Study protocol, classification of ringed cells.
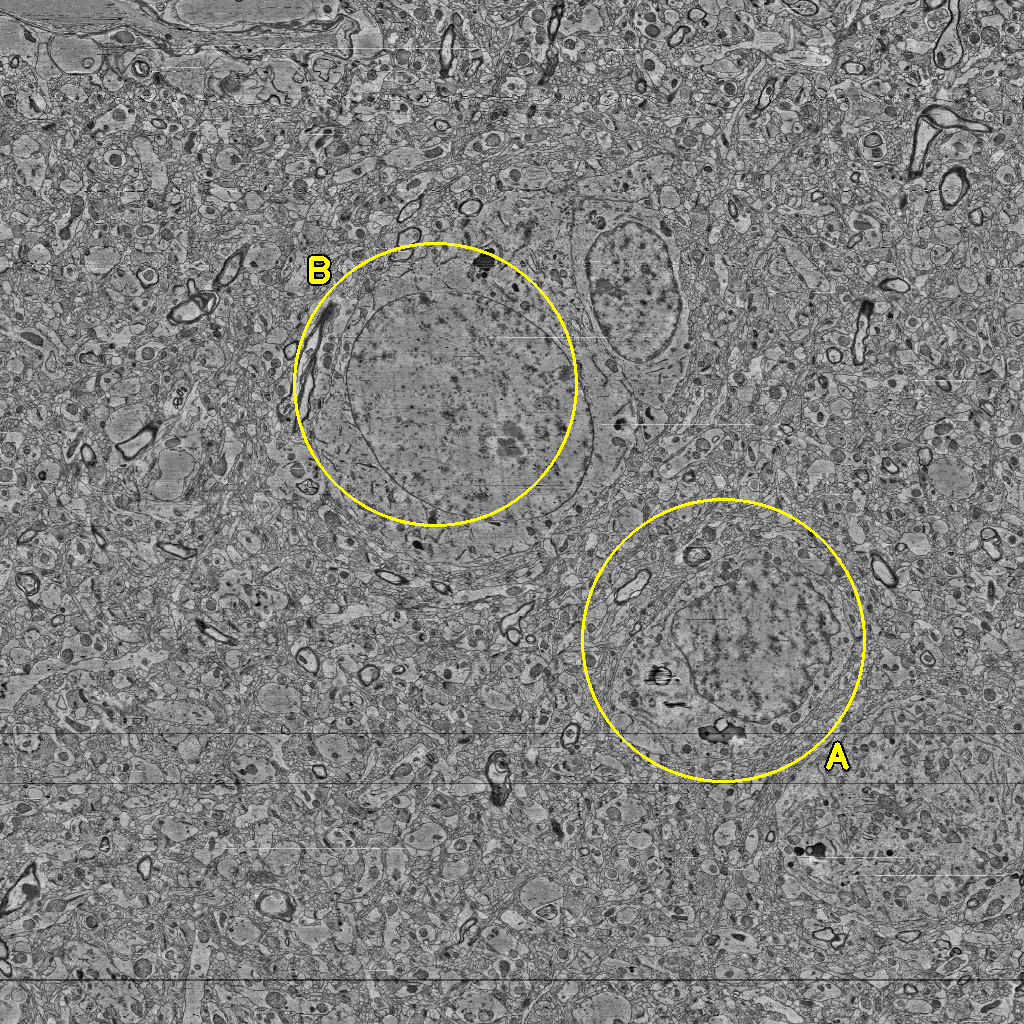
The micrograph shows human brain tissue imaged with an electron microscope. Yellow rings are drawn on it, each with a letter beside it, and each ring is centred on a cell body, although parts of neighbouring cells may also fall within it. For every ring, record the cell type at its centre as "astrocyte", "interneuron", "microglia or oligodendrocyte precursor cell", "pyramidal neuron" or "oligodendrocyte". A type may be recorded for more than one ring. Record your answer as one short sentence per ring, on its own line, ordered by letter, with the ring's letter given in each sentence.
Ring A has been centred on an interneuron.
Ring B has been centred on a pyramidal neuron.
